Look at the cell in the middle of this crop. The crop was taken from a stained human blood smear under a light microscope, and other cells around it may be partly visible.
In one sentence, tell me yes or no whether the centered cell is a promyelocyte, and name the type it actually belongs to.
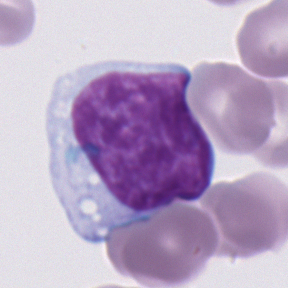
No, that is not a promyelocyte; the middle cell is a myeloblast.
